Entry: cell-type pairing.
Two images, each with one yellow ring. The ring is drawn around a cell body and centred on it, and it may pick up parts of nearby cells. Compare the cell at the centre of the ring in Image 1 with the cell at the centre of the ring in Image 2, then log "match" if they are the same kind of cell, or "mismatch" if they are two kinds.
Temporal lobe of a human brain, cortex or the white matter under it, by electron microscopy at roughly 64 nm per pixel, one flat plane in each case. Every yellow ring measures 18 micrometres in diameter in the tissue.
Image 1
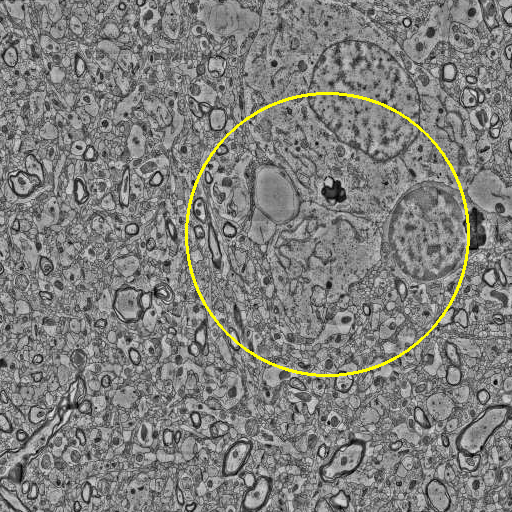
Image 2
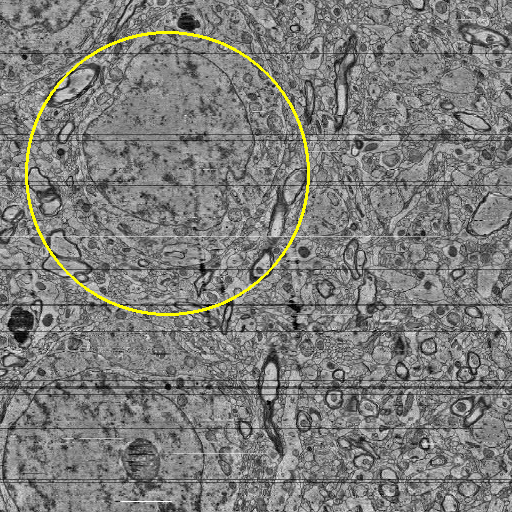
match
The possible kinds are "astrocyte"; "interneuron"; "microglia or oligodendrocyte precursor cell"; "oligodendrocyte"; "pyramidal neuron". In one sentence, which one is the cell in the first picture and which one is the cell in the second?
Each of the two cells is a pyramidal neuron.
